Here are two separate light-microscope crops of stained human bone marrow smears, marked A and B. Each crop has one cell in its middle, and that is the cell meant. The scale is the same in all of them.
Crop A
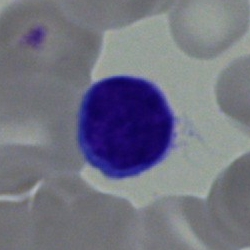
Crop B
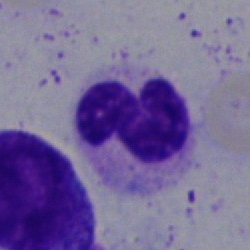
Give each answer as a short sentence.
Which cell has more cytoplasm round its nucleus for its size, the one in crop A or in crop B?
In crop B the nucleus takes up the smaller part of its cell.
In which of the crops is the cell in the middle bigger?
Larger is the cell in crop B, at roughly 1.5 times the area of the other.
